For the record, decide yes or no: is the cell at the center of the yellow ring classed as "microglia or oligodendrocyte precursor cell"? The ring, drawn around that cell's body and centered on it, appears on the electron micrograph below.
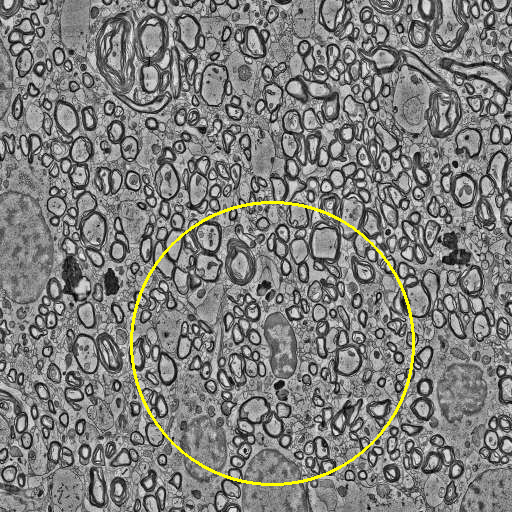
yes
